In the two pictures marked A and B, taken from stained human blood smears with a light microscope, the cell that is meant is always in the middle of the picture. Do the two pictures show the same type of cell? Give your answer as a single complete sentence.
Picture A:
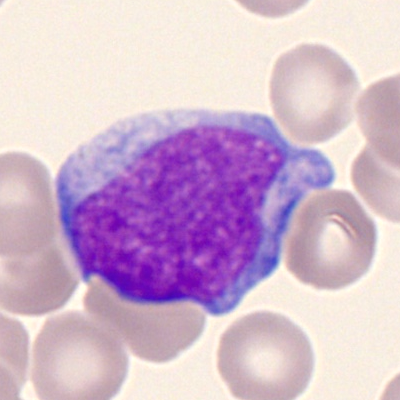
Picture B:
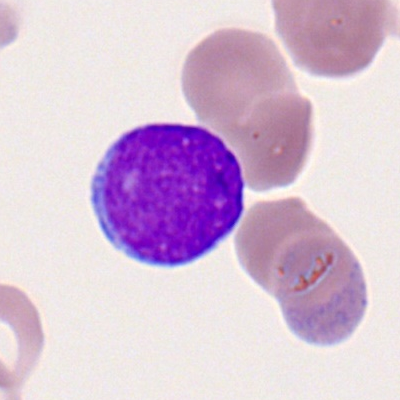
Yes, both cells are myeloblasts.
